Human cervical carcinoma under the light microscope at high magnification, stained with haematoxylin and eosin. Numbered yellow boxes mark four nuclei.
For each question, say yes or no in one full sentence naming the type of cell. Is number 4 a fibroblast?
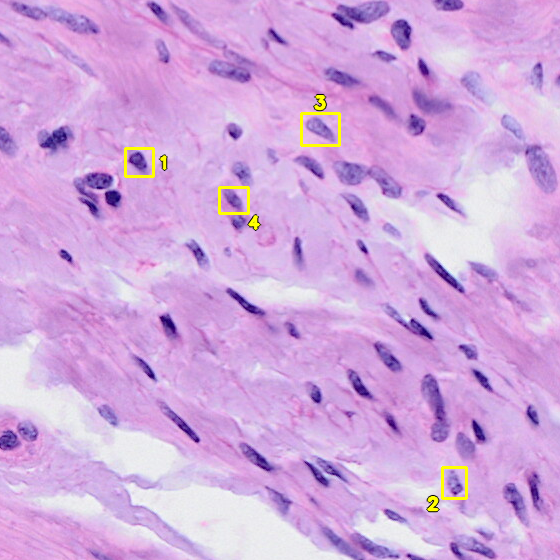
No, the cell with number 4 is not a fibroblast but a smooth muscle cell.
